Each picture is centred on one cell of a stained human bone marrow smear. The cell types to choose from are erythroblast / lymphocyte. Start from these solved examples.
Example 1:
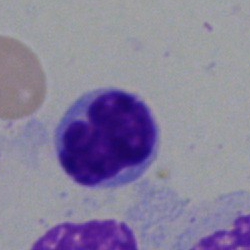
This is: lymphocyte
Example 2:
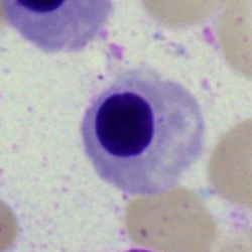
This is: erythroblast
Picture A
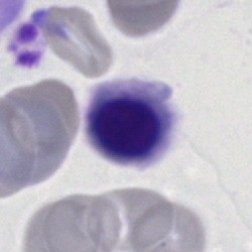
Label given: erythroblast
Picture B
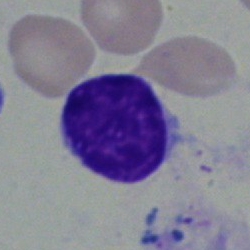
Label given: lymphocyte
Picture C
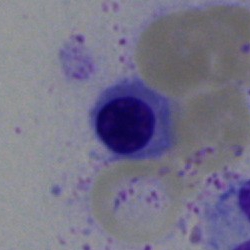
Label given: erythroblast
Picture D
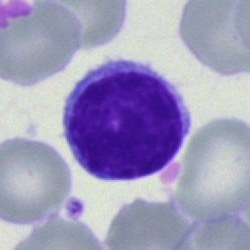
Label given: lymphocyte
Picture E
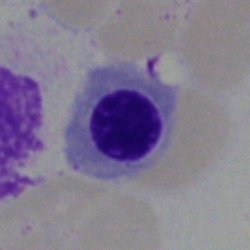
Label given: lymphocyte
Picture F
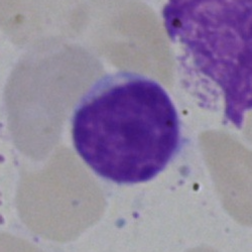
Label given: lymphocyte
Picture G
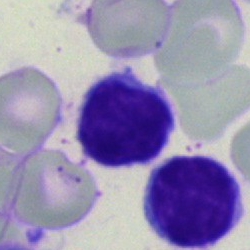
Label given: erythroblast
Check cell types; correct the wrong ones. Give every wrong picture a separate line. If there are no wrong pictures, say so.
E: change lymphocyte to erythroblast
G: change erythroblast to lymphocyte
